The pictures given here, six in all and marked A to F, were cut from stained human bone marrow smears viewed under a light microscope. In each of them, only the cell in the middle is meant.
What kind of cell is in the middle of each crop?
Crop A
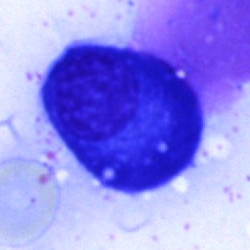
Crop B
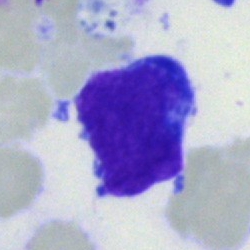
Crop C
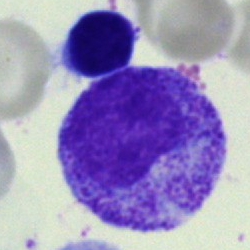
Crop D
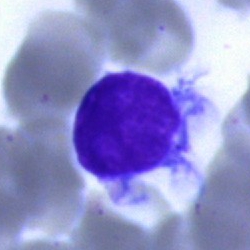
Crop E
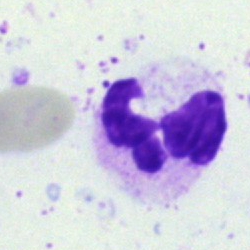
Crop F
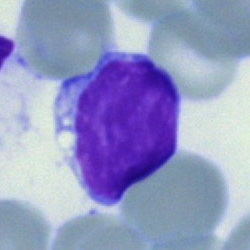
A: plasma cell
B: blast
C: promyelocyte
D: hairy cell
E: segmented neutrophil
F: lymphocyte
